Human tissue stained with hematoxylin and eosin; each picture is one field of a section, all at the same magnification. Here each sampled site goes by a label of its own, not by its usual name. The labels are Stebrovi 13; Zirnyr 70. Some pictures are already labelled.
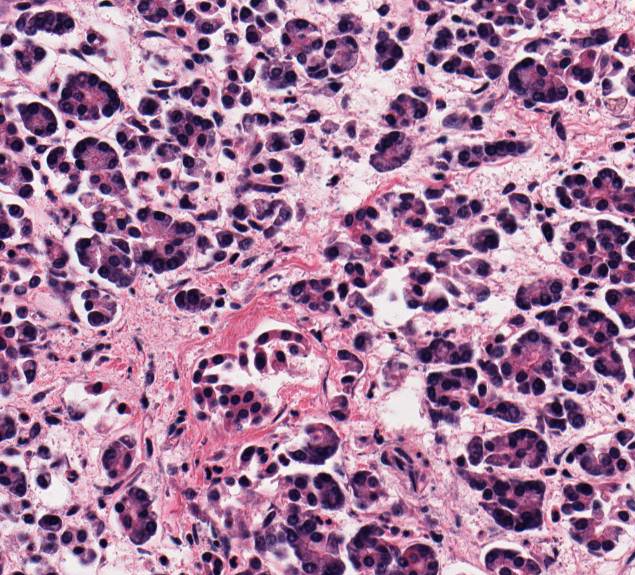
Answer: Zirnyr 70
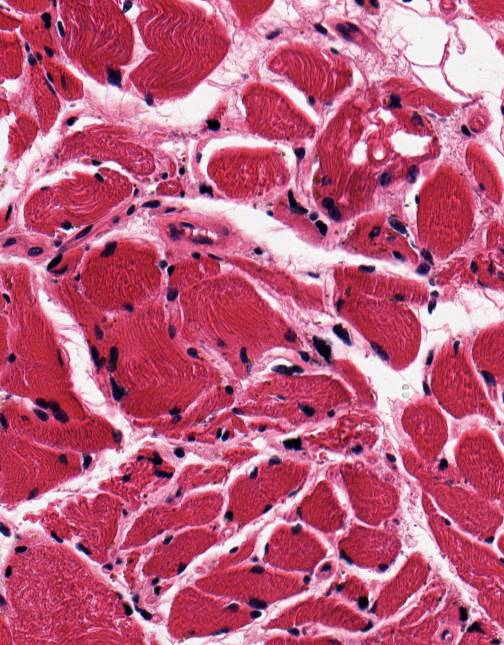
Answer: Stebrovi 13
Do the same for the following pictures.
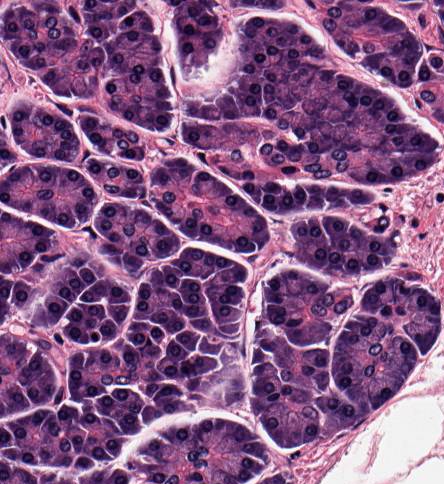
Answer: Zirnyr 70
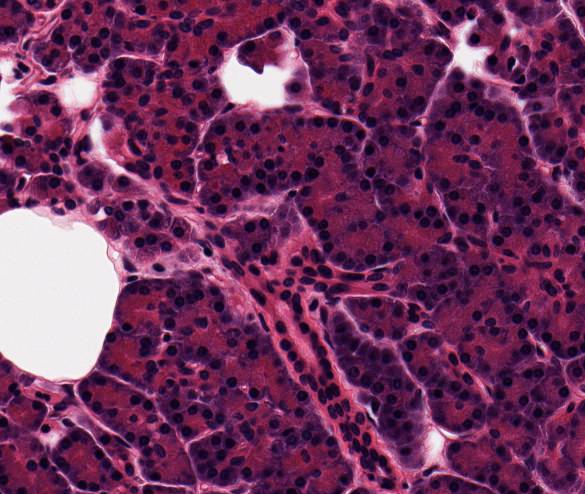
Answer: Zirnyr 70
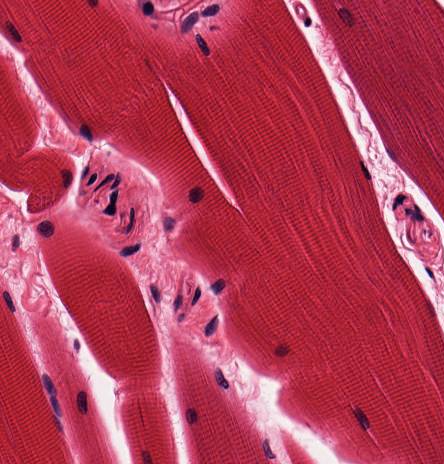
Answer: Stebrovi 13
